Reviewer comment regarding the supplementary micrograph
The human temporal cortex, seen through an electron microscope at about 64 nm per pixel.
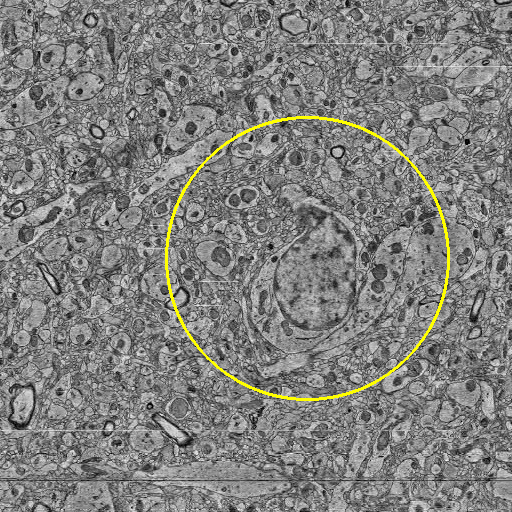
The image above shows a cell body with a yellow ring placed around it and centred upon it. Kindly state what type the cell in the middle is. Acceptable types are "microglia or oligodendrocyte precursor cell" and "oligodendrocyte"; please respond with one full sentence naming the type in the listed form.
In the image above, the cell on which the yellow ring is centred is a microglial cell or oligodendrocyte precursor cell.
